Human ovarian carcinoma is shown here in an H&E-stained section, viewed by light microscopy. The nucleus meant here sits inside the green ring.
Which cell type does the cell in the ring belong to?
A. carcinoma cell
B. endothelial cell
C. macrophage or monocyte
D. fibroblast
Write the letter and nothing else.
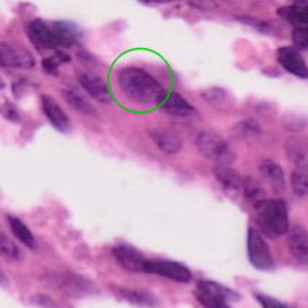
A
